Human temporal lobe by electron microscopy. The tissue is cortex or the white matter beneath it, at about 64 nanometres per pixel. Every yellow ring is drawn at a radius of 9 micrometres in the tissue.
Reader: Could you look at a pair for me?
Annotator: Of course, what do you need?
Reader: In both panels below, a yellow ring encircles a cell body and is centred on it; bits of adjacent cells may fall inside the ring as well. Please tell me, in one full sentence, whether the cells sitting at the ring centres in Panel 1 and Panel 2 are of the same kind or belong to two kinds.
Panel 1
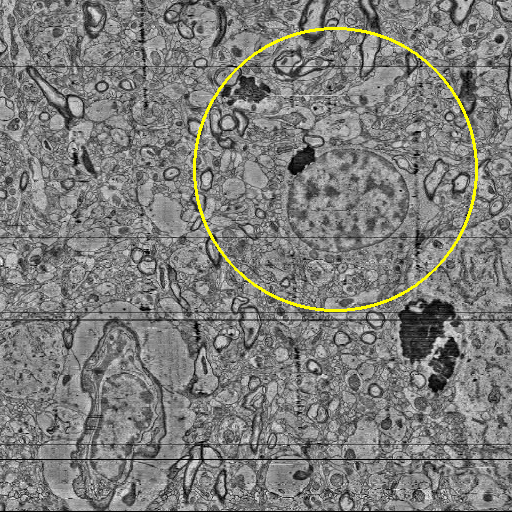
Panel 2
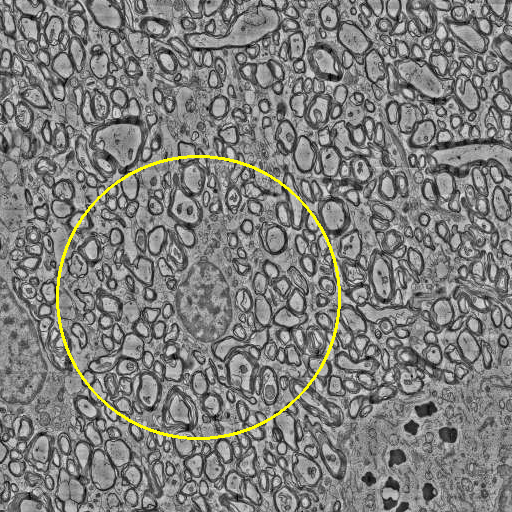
The cell at the ring's centre in Panel 1 and the one in Panel 2 are of the same kind.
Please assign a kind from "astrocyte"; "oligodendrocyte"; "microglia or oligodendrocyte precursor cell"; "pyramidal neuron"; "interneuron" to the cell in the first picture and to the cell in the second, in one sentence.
The ring centre holds an oligodendrocyte in each of the two pictures.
